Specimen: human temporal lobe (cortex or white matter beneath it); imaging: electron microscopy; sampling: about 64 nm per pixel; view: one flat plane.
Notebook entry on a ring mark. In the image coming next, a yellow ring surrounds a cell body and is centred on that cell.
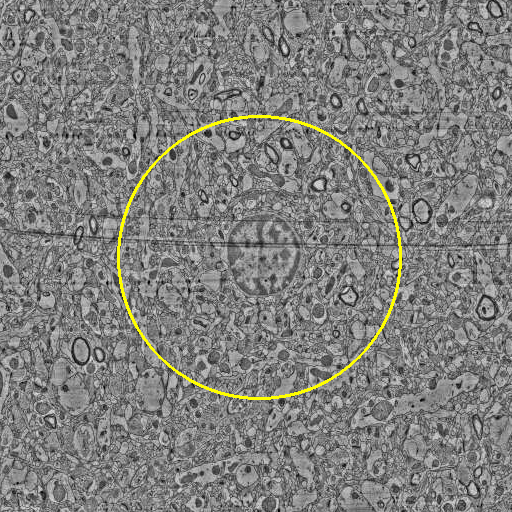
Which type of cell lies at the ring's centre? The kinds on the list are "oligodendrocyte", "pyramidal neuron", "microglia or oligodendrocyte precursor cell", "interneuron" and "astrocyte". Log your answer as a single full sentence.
Centred in the yellow ring is an oligodendrocyte, the cell recorded for this image.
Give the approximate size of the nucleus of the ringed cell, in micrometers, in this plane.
In this plane, roughly 5 micrometres across.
